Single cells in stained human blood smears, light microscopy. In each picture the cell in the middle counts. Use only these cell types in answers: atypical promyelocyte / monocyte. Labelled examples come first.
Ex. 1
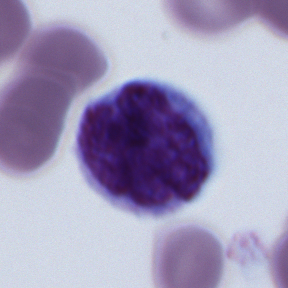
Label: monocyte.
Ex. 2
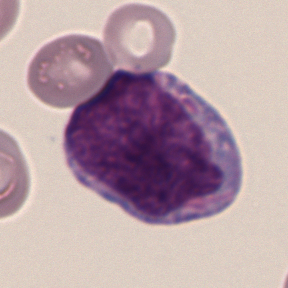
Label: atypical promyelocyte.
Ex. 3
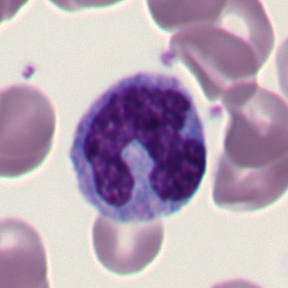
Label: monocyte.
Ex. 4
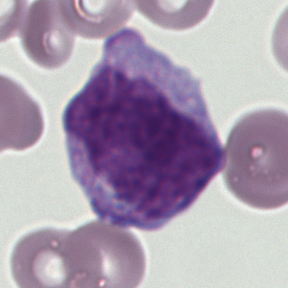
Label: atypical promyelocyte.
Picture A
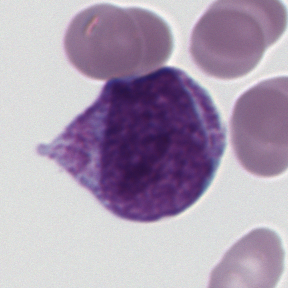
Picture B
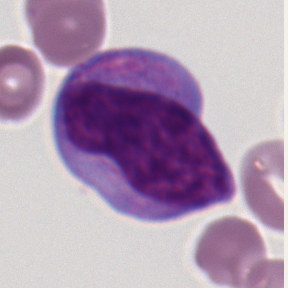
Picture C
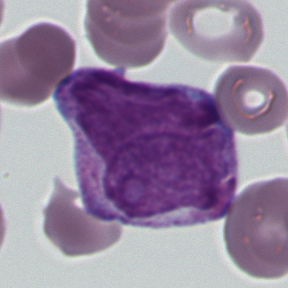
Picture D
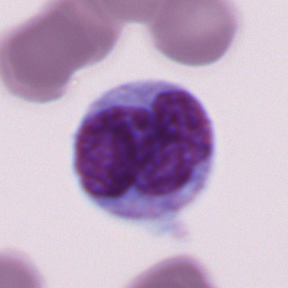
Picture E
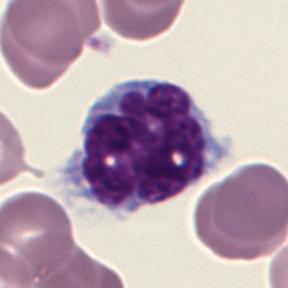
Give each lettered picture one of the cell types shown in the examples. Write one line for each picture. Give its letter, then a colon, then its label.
A: atypical promyelocyte.
B: atypical promyelocyte.
C: atypical promyelocyte.
D: monocyte.
E: monocyte.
